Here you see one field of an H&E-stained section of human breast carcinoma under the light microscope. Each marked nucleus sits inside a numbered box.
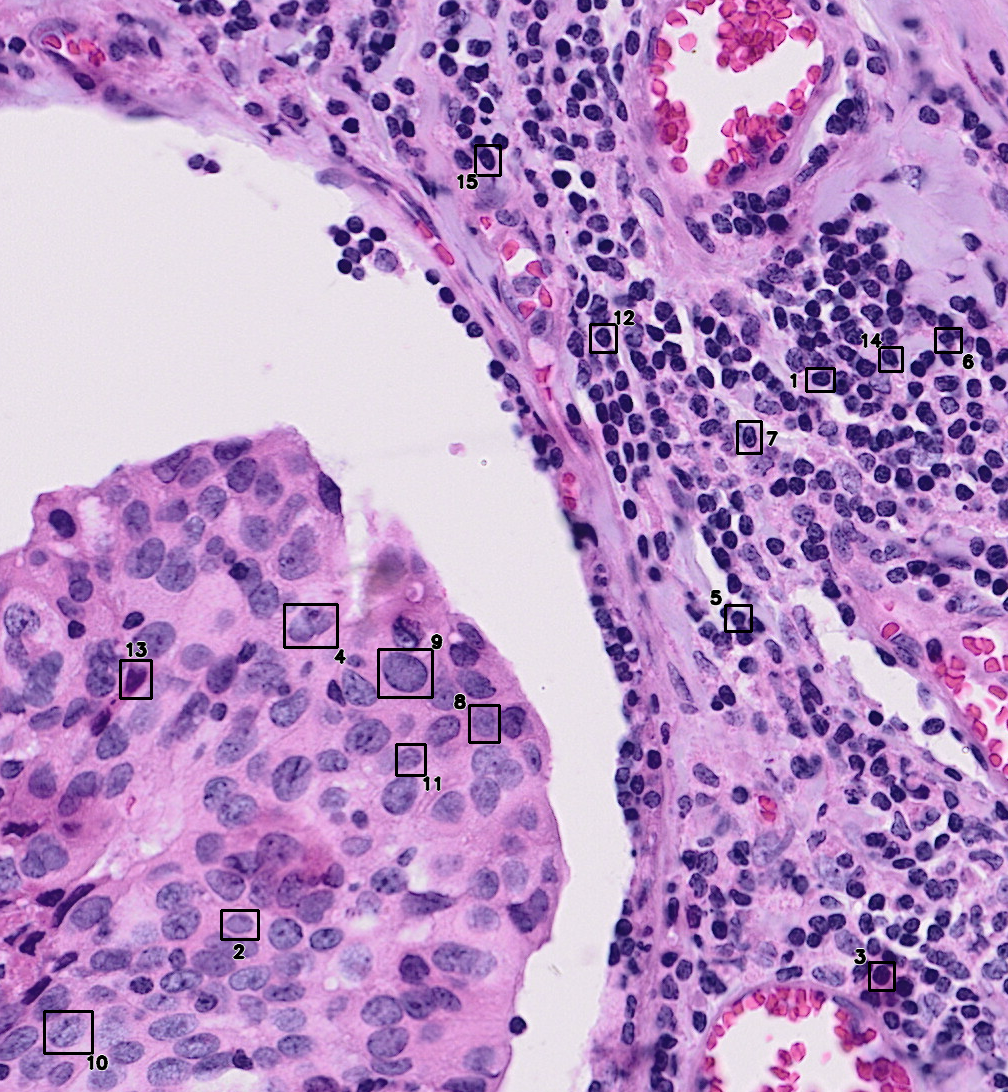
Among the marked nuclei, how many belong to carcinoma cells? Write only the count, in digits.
7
